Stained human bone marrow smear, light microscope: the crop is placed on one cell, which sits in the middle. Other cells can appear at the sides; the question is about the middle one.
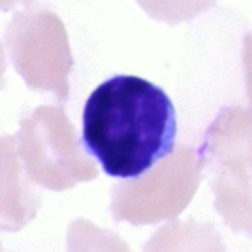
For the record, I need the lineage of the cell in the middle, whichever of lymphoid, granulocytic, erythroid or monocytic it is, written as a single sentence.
With respect to lineage, the central cell is to be called lymphoid.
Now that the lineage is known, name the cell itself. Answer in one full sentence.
Of the cells in this crop, the central one is a lymphocyte.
